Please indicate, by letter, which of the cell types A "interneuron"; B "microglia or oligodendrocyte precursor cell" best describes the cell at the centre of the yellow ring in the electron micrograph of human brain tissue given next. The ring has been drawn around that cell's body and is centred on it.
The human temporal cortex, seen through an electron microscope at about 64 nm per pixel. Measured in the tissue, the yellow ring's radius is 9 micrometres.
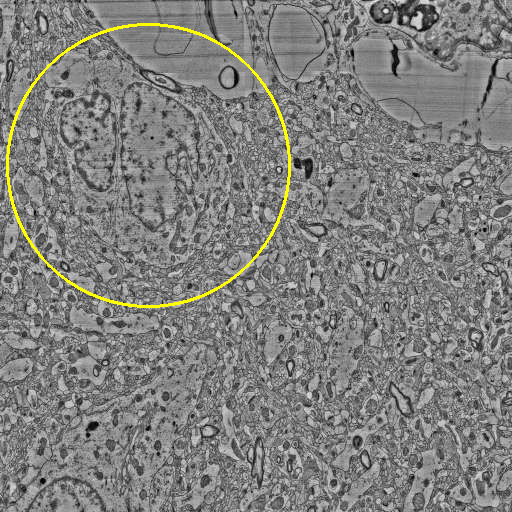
A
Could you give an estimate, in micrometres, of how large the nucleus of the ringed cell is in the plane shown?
In this plane the nucleus measures roughly 9 by 8 micrometers.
